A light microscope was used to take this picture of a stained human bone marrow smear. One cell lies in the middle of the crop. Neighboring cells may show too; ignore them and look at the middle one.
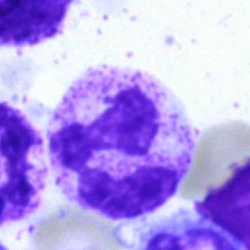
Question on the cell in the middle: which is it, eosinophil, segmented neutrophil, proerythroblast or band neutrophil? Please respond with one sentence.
The centrally positioned cell in the crop represents a segmented neutrophil.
